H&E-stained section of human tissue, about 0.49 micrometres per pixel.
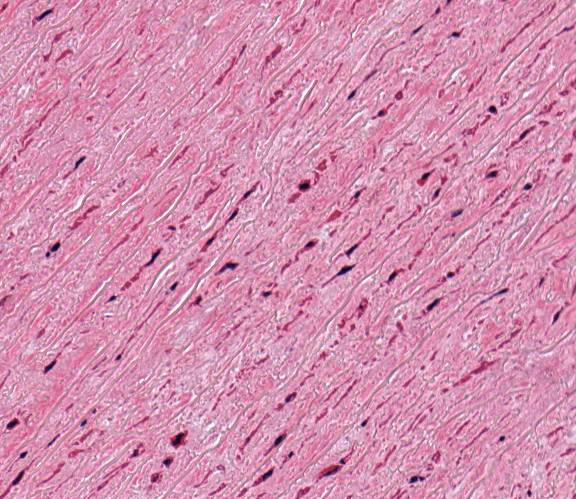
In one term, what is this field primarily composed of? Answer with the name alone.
tunica media of an artery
